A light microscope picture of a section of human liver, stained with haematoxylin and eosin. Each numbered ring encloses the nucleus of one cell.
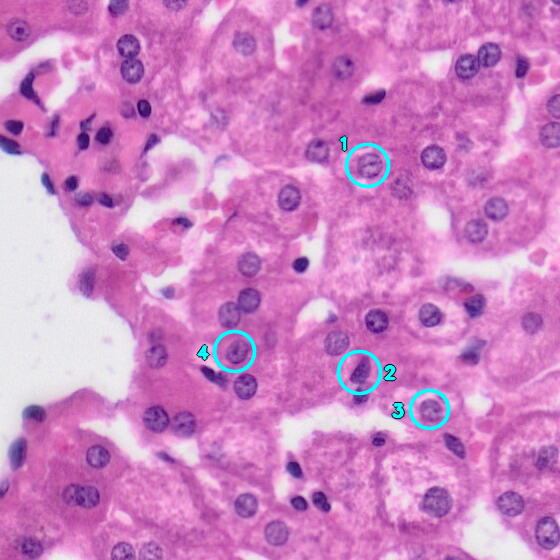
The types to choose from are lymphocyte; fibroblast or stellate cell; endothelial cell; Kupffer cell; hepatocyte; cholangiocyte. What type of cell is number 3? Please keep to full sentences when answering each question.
Identified by the number 3, the cell is a hepatocyte.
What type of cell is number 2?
Cell 2, among those numbered, is a fibroblast or stellate cell.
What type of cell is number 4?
In this section, the cell tagged 4 is a hepatocyte.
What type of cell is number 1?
Recognised here as a hepatocyte is the cell numbered 1.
